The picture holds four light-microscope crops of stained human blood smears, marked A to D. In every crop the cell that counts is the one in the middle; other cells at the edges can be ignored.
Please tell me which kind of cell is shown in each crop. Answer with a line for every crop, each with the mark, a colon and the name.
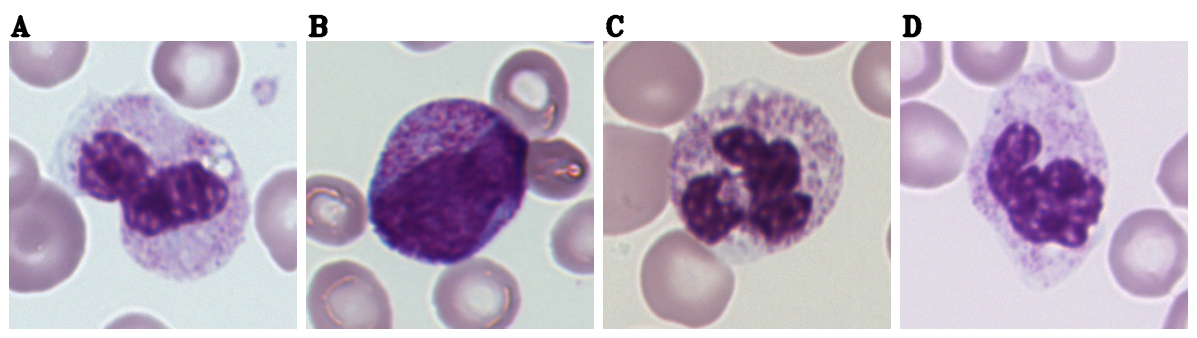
A: segmented neutrophil
B: atypical promyelocyte
C: segmented neutrophil
D: segmented neutrophil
